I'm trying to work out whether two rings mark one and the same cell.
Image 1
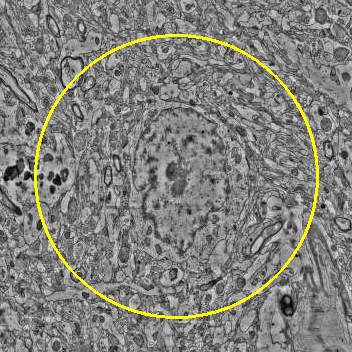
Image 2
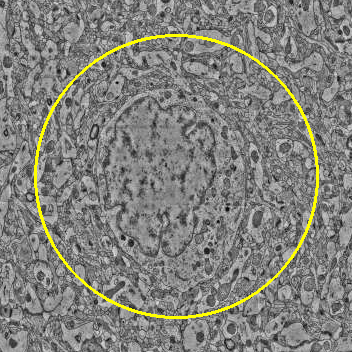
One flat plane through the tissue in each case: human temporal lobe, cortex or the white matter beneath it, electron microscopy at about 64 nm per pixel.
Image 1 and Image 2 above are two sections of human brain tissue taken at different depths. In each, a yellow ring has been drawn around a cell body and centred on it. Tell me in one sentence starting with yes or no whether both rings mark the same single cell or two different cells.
No, there are two different cells marked by the rings.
